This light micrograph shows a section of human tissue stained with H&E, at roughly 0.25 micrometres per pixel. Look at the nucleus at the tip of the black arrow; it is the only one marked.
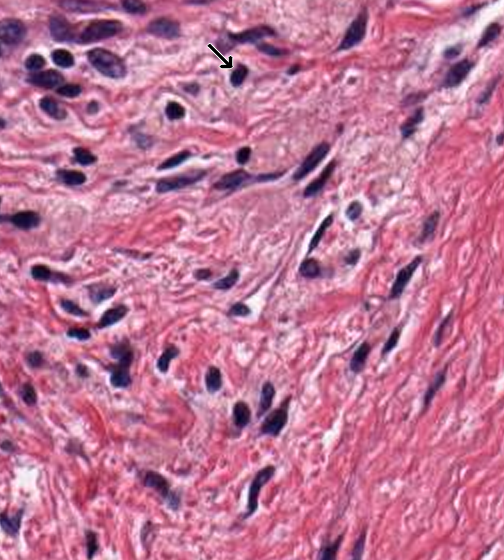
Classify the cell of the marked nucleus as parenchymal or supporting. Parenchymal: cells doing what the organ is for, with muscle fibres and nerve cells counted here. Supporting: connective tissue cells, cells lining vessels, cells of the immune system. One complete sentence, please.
A supporting cell is what the marked nucleus belongs to.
